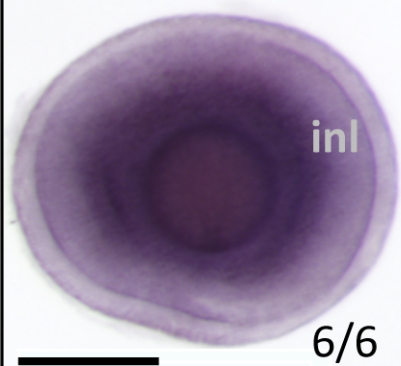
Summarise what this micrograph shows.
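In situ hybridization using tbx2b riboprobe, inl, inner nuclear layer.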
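This is a whole eye seen from the side, with the round lens at its centre and the retina wrapped around it in concentric rings. A broad band of dark purple stain lies in the retina around the lens, while a thinner, paler rim runs along the outer edge of the eye.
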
